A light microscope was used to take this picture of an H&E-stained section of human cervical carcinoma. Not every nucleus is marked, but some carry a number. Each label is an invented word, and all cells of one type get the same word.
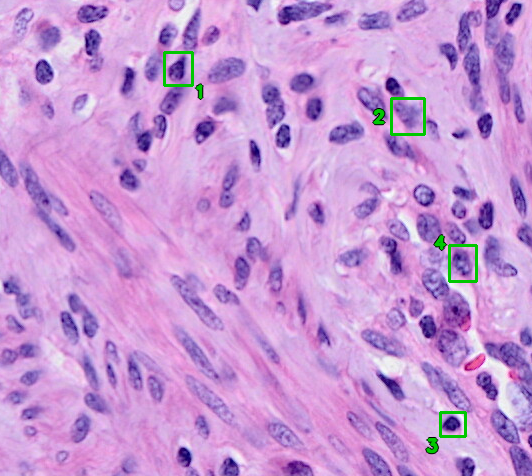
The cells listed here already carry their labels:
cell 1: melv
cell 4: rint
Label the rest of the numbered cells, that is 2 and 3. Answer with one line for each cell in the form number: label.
2: rint
3: melv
